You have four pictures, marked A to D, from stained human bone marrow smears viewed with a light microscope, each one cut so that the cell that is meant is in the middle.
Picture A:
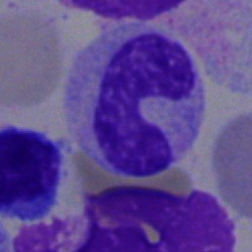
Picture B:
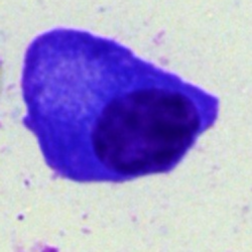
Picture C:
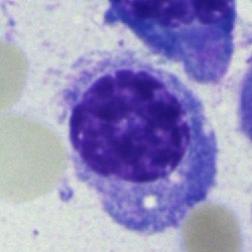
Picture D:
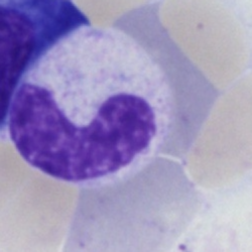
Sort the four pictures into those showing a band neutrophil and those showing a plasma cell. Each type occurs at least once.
A: band neutrophil
B: plasma cell
C: plasma cell
D: band neutrophil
